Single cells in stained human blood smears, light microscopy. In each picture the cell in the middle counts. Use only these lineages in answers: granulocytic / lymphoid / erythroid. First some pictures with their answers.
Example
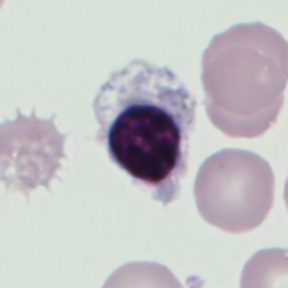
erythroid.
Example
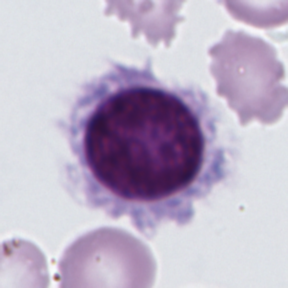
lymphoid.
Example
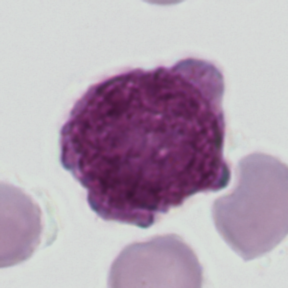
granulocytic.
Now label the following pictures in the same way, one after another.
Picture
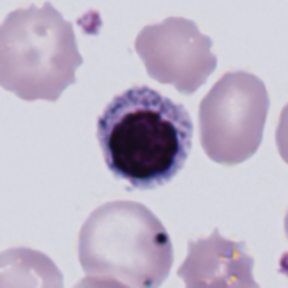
erythroid.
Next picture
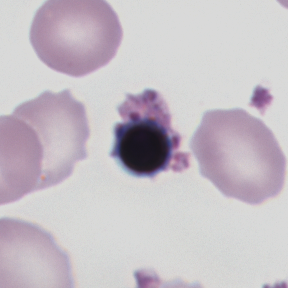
erythroid.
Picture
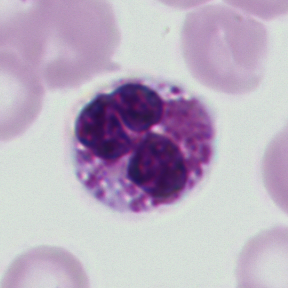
granulocytic.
